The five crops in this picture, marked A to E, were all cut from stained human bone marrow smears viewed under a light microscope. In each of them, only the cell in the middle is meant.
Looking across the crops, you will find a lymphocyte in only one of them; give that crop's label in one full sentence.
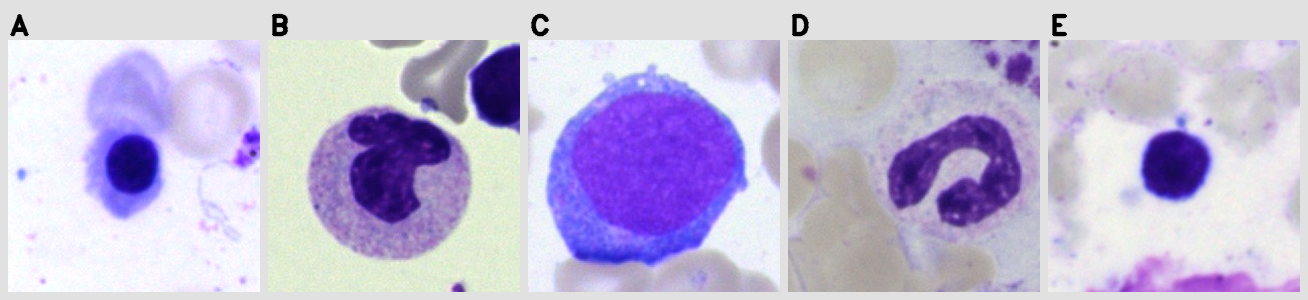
Here the crop that shows a lymphocyte is crop E.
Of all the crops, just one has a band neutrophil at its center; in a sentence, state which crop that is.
Look at crop B; that is the one with a band neutrophil in its center.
